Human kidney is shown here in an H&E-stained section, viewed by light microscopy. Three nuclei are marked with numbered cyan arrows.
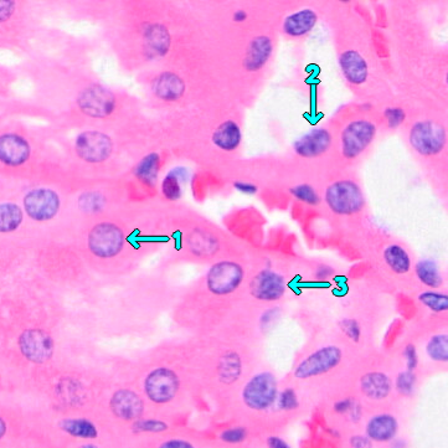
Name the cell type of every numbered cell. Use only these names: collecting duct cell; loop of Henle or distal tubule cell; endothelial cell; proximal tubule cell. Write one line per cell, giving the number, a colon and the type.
1: proximal tubule cell
2: loop of Henle or distal tubule cell
3: collecting duct cell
